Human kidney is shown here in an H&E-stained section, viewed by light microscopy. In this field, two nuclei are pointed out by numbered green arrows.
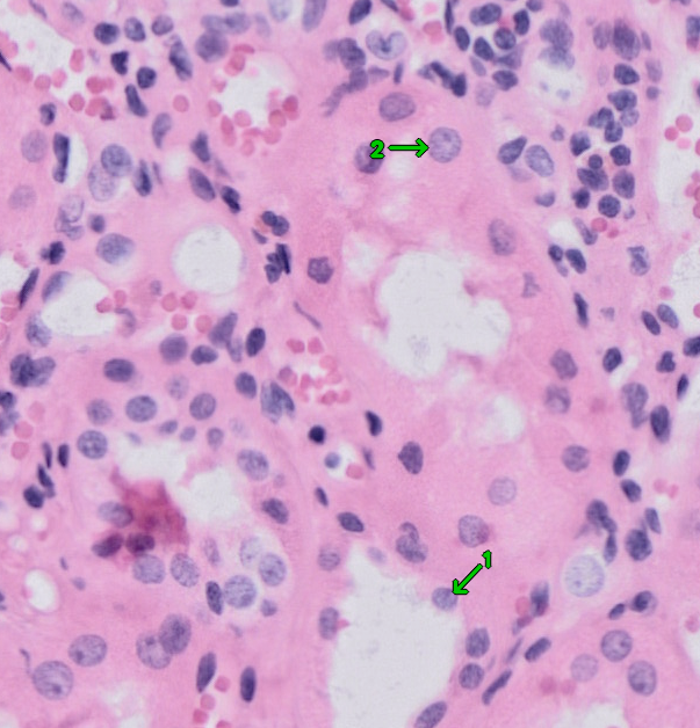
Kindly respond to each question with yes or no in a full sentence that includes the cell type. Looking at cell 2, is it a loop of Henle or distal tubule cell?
No, as for cell 2, it is a proximal tubule cell and not a loop of Henle or distal tubule cell.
